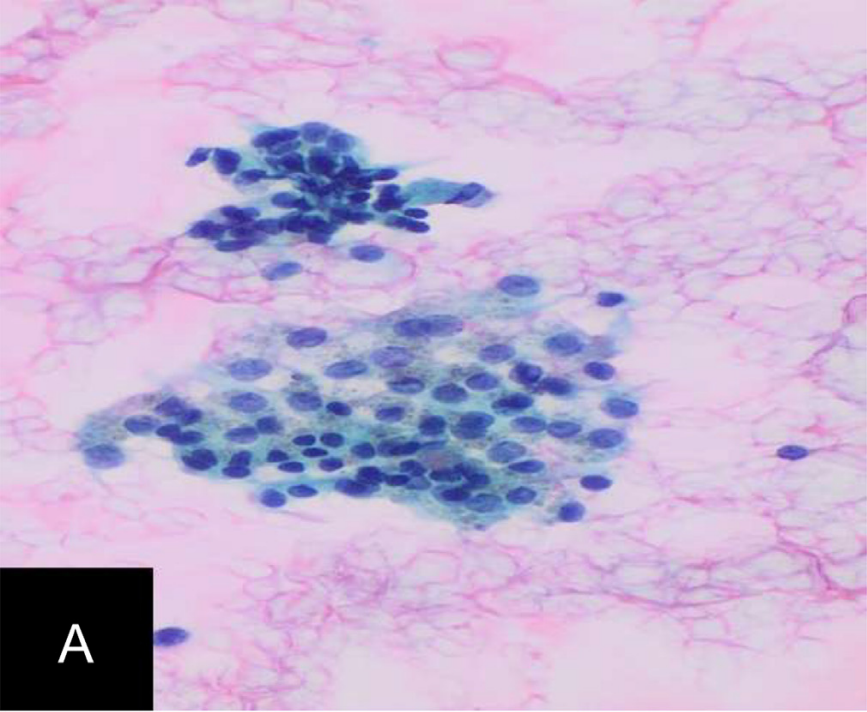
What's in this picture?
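These are clusters of bland follicular cells lying in a background of thin watery colloid. The surrounding pink colloid shows a fine cracked, net-like pattern.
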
